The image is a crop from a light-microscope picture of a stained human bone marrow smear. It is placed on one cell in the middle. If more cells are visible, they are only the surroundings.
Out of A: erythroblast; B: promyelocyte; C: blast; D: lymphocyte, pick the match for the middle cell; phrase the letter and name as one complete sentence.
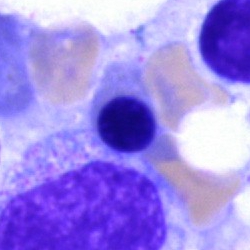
Option A is the keyed answer: the cell in the middle is an erythroblast.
